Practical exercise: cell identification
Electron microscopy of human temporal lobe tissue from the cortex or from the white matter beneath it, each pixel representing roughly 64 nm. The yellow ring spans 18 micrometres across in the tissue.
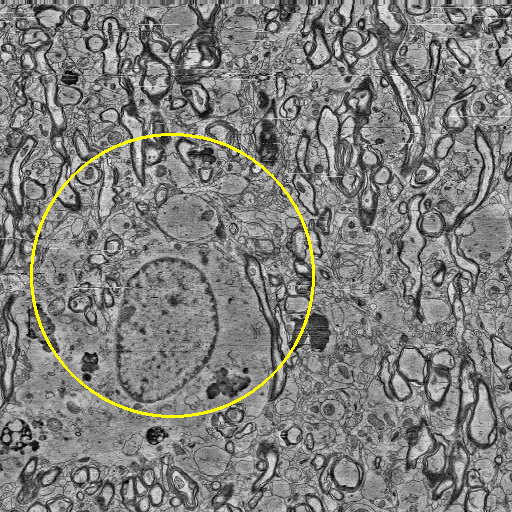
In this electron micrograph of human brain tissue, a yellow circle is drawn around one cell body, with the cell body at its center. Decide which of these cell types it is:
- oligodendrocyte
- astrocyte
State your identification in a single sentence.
The ringed cell is an astrocyte.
